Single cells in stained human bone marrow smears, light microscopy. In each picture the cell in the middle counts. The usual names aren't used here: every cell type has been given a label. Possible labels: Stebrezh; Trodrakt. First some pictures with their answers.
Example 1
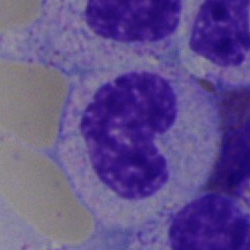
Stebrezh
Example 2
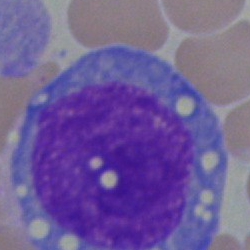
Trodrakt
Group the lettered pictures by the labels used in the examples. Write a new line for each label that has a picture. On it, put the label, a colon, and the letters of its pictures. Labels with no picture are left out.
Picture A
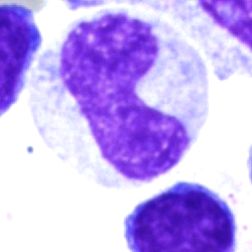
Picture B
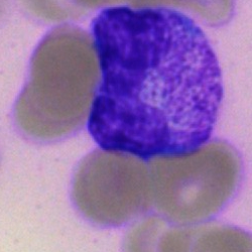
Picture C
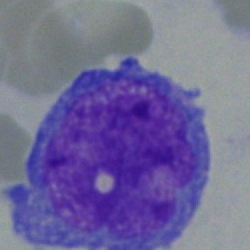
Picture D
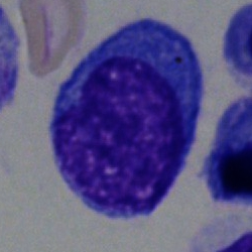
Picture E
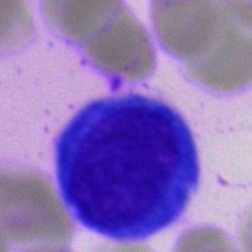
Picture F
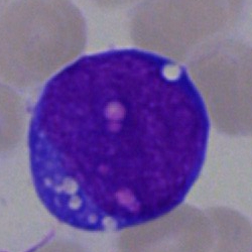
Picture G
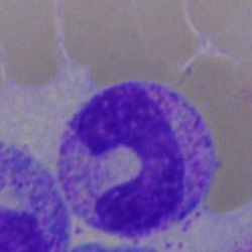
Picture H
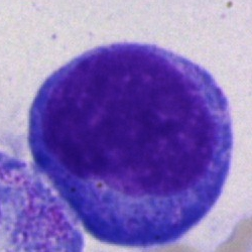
Stebrezh: A, B, G
Trodrakt: C, D, E, F, H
